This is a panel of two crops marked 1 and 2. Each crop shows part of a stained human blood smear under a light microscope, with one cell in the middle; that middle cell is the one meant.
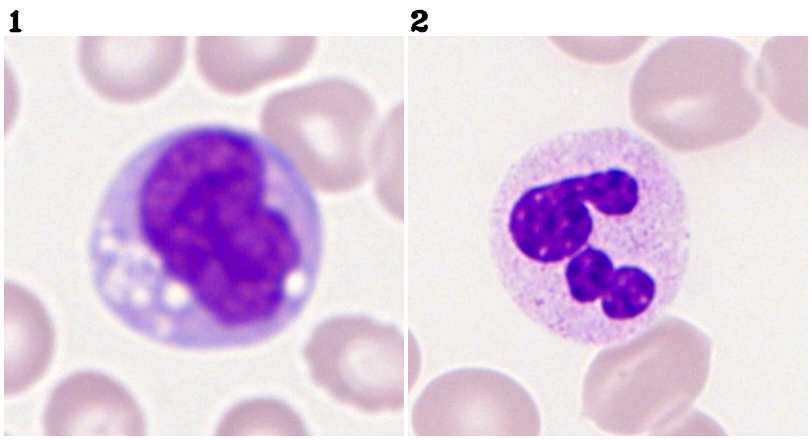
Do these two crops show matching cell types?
no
